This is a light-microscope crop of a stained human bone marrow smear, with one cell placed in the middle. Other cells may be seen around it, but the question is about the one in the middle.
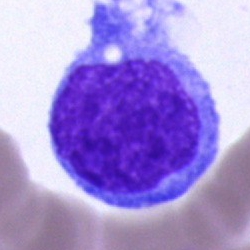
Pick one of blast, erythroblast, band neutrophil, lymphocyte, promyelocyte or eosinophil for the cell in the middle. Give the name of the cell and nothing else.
blast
